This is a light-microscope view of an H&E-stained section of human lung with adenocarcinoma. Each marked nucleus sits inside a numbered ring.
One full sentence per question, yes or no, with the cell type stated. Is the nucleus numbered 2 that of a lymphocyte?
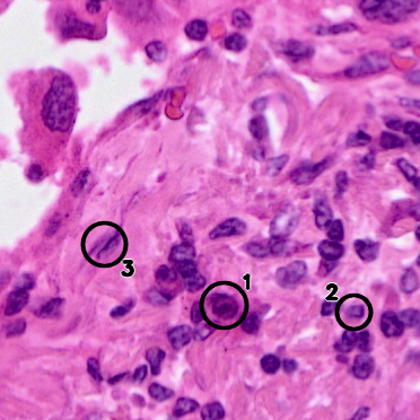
Yes, number 2 is assigned to a cell that is a lymphocyte.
